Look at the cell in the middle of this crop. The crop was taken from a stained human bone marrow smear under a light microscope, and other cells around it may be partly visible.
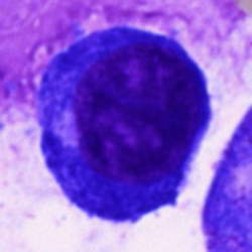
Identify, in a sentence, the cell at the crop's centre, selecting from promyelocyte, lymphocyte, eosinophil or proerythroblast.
The cell around which this crop is centred is a proerythroblast.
